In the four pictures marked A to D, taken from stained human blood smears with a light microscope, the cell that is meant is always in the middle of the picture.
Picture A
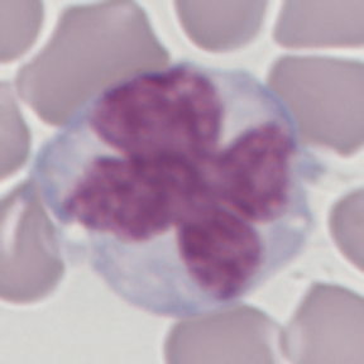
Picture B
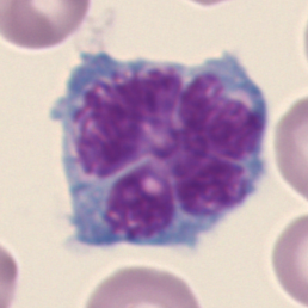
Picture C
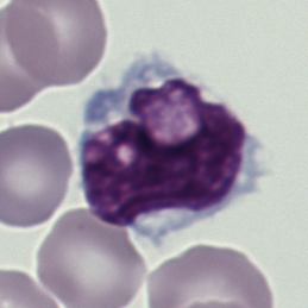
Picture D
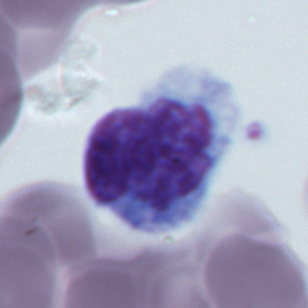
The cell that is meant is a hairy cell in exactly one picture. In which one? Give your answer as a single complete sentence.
It is picture C that shows the hairy cell.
